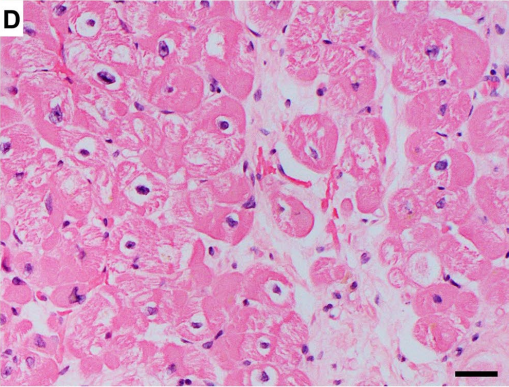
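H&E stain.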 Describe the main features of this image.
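Cardiac myocytes cut largely in cross section show pale, partly cleared cytoplasm with large clear perinuclear haloes around centrally placed nuclei. The remaining cytoplasm is pink and wispy, with patchy loss of myofibrillar material. The interstitium between myocytes is widened and pale, containing scattered small interstitial nuclei and a few red blood cells.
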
